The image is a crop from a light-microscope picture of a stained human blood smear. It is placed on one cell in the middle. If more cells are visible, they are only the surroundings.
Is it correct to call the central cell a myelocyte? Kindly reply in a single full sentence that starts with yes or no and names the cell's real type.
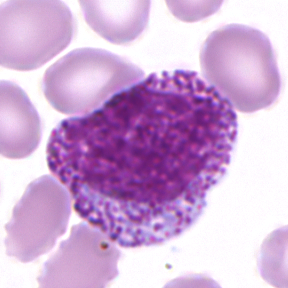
Yes, within this crop, the central cell is a myelocyte.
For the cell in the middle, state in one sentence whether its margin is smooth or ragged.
The outer contour of the cell is irregular, with ragged portions or projections along it.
